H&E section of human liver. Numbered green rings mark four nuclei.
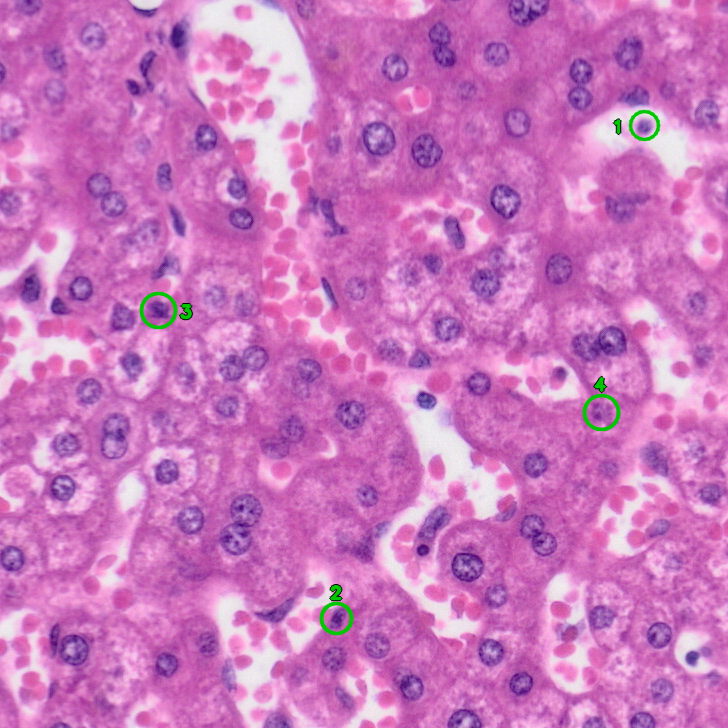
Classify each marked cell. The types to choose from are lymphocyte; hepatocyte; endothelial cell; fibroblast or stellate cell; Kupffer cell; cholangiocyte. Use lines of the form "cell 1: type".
cell 1: lymphocyte
cell 2: fibroblast or stellate cell
cell 3: fibroblast or stellate cell
cell 4: hepatocyte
